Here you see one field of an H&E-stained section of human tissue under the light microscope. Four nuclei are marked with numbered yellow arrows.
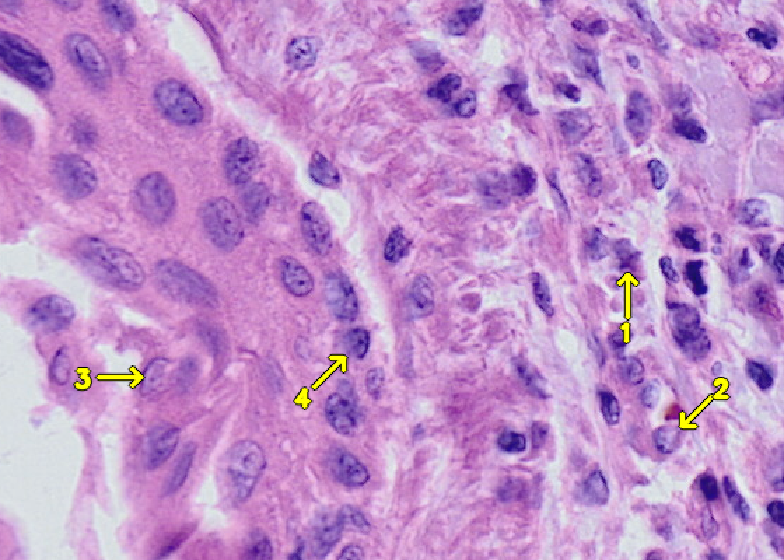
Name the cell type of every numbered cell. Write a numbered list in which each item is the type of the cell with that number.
1. fibroblast
2. endothelial cell
3. squamous carcinoma cell
4. squamous carcinoma cell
